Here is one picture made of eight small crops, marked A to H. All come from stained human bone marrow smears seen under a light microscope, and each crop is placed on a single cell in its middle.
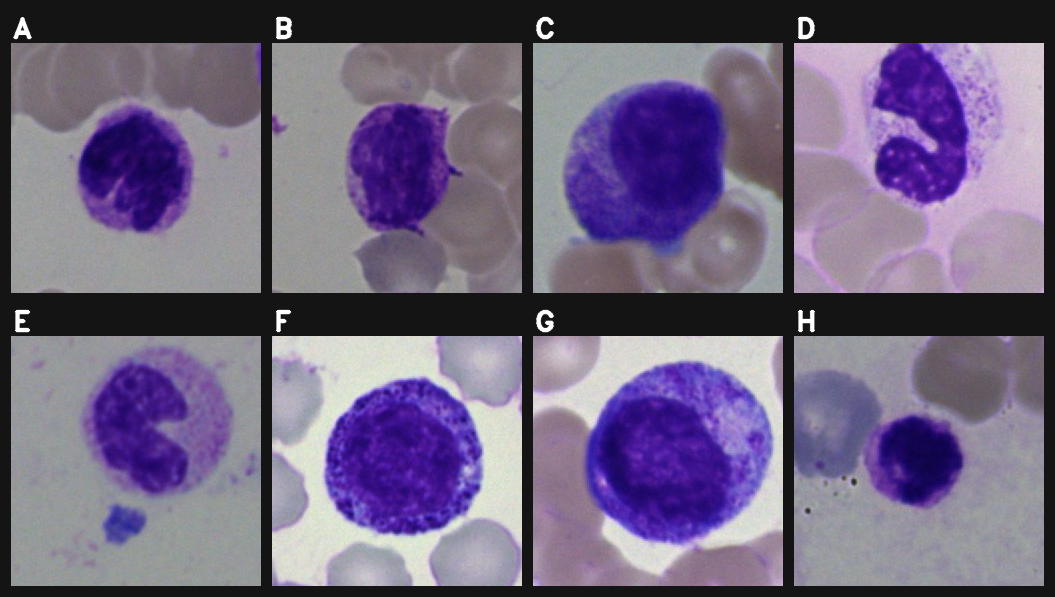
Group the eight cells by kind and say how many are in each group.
basophil: 3
promyelocyte: 3
band neutrophil: 2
